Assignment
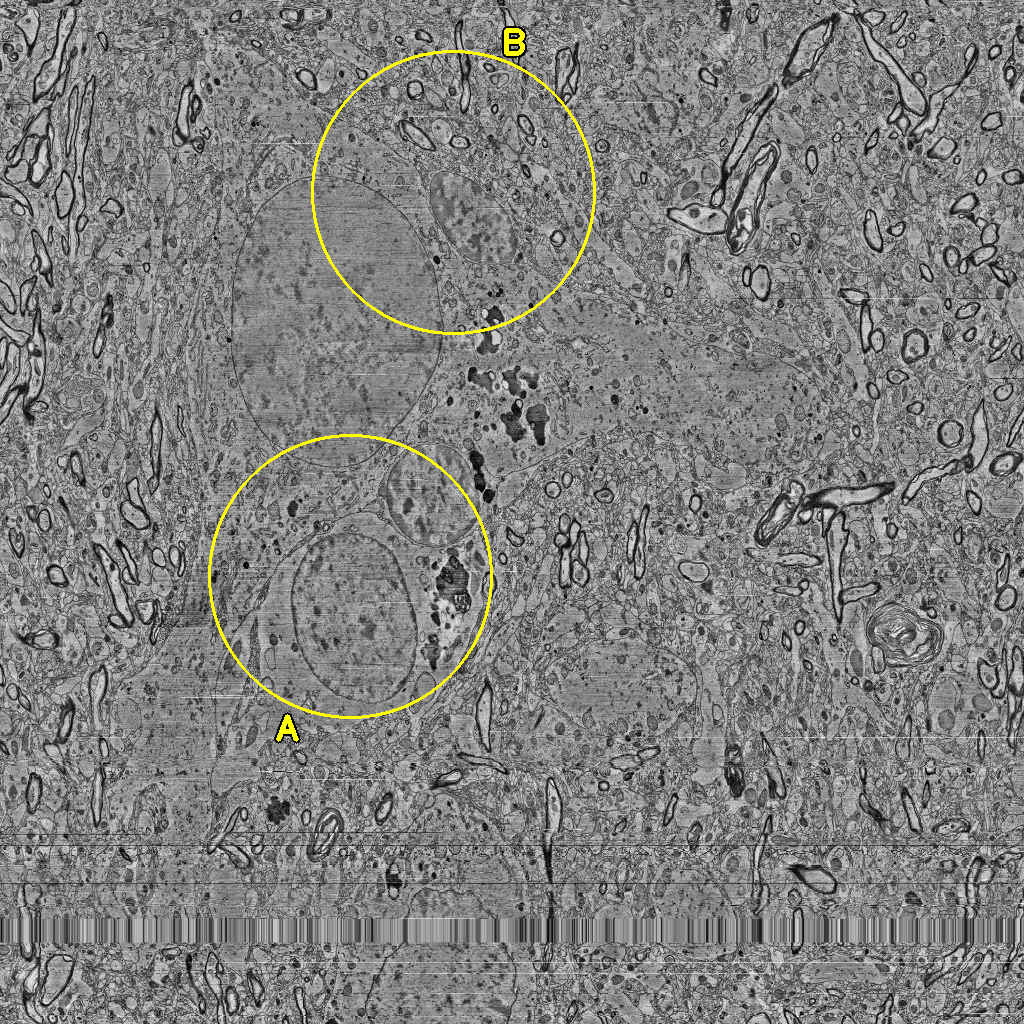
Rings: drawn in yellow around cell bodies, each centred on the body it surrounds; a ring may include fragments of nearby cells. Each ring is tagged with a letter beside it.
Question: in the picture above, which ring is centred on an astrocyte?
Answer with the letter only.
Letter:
A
